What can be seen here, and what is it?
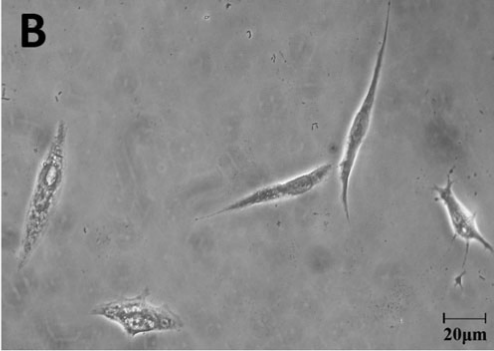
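Several cultured fibroblasts are scattered singly on the culture surface, most of them narrow and spindle-shaped, drawn out into tapering ends at both poles. The cells are oriented in different directions and do not touch one another. One smaller cell near the bottom is short and irregular, and one at the right edge is small with a few thin extensions. The background is a uniform grey with scattered small debris.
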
